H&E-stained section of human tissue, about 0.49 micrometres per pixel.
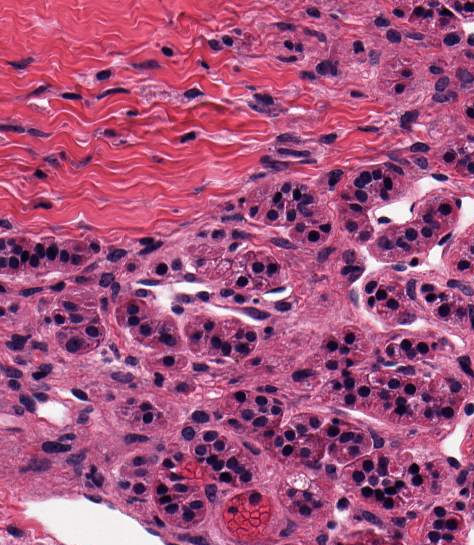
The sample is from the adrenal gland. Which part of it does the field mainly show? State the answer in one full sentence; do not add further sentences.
It is zona glomerulosa that this tissue section depicts.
